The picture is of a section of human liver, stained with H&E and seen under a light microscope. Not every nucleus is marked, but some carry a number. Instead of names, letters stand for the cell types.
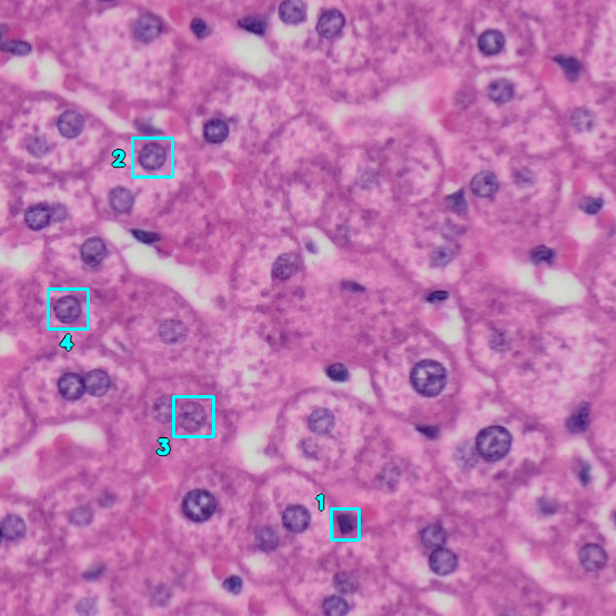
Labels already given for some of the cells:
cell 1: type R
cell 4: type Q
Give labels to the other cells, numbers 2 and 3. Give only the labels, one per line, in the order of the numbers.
type Q
type Q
